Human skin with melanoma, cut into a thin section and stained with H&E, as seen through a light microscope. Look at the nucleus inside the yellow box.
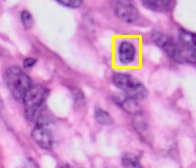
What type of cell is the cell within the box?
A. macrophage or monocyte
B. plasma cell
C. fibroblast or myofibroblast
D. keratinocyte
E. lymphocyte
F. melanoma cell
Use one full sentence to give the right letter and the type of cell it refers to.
Option E is right in classifying the cell within the box as a lymphocyte.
